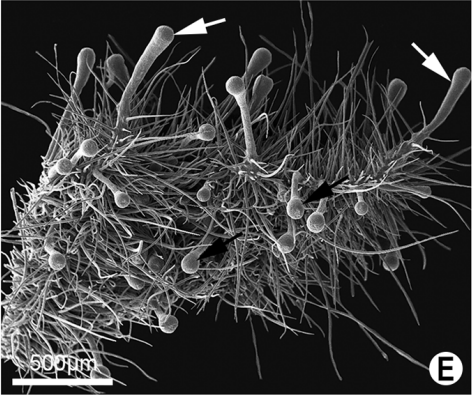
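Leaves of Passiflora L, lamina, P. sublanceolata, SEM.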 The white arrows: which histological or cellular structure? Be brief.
clavate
